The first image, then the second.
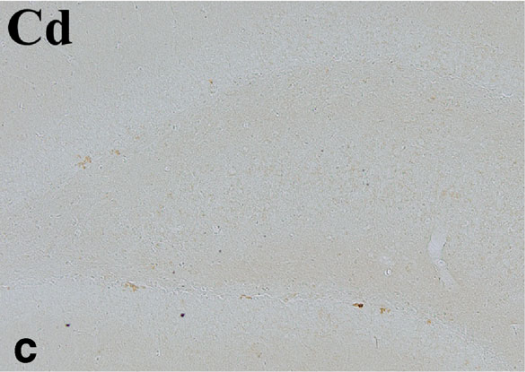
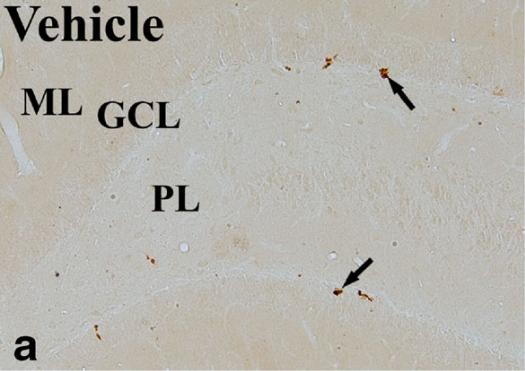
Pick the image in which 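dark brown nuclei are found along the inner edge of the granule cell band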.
The second image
